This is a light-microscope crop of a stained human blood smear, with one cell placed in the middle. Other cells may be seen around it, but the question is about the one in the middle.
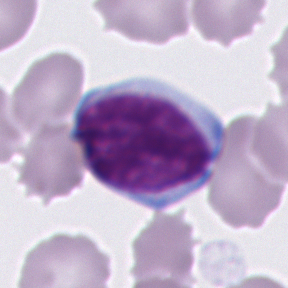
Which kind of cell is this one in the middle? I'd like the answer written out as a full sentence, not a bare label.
By classification, the middle cell of this crop is a typical lymphocyte.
